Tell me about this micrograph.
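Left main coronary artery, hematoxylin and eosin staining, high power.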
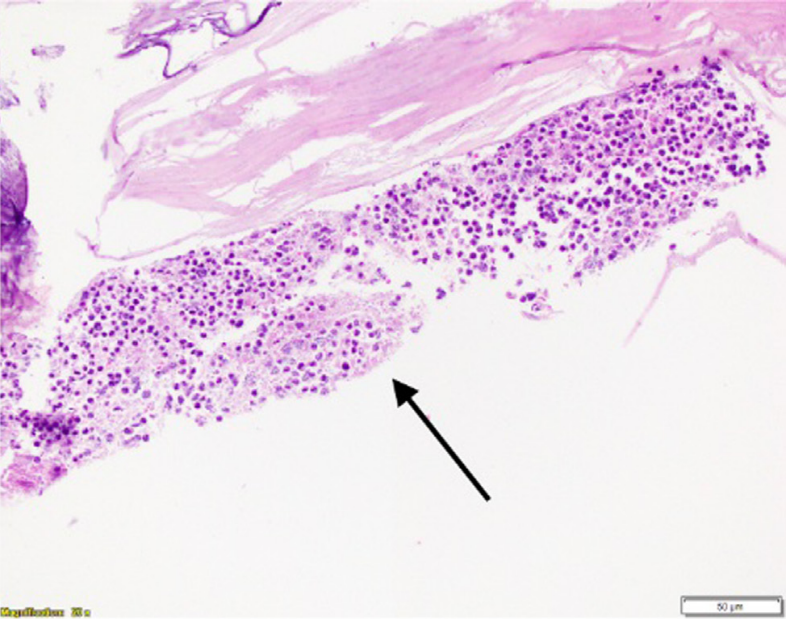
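The thrombus is made of pale pink, finely fibrillar and somewhat granular material. Through it are scattered many small, round cells with dark purple nuclei, packed more densely in some stretches than in others. Above the thrombus run long bands of pale pink, wavy fibrous tissue of the vessel wall, and no clusters of dark cells are seen within it. Much of the field around the thrombus is empty white space.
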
